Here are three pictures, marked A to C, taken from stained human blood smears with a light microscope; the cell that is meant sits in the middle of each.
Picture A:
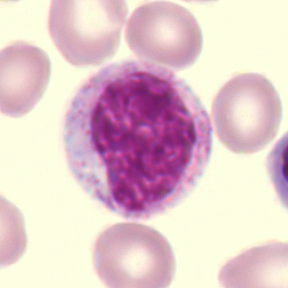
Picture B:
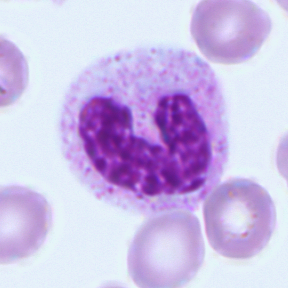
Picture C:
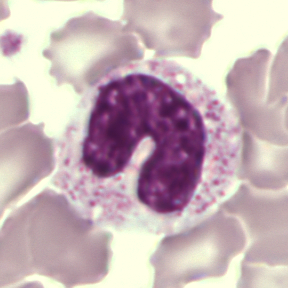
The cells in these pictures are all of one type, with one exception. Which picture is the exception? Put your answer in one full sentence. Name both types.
Picture A differs, because its cell is a metamyelocyte and the rest are band neutrophils.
